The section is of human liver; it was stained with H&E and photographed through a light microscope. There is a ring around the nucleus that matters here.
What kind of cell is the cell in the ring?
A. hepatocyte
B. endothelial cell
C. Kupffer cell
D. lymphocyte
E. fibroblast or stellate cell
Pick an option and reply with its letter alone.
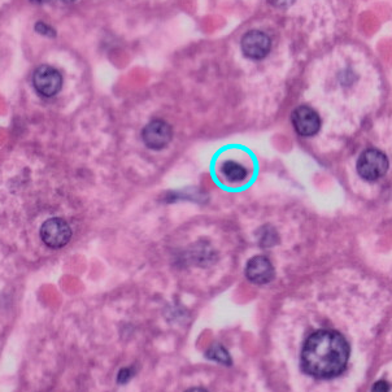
D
